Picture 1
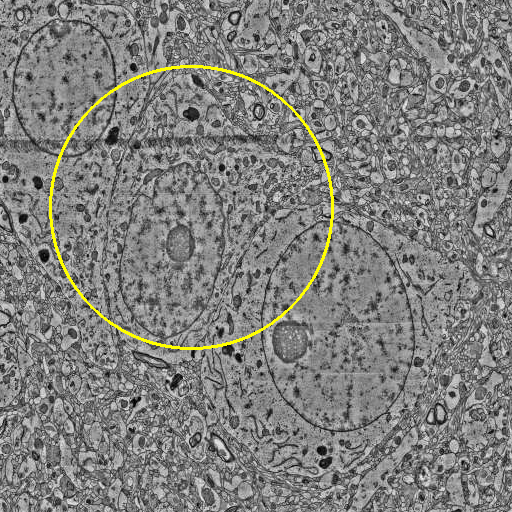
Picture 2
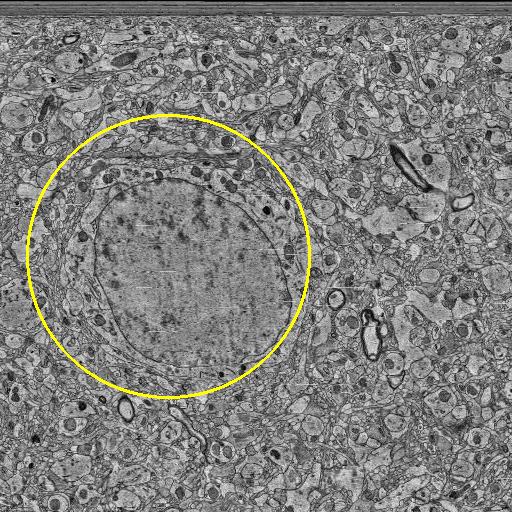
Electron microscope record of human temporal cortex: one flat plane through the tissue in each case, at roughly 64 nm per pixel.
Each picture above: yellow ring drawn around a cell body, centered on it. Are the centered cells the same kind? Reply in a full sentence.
No, the two cells are two kinds of cell.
